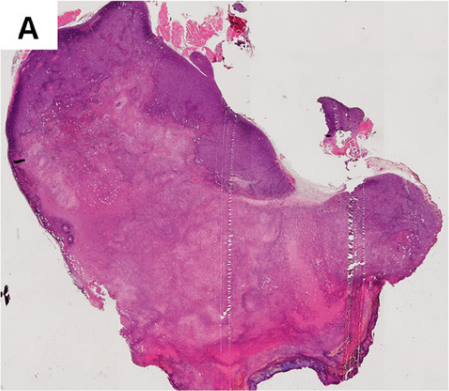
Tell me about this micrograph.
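The pale central tissue is mottled and washed-out in texture. Brighter pink tissue lines the lower border. A small detached fragment lies beside the upper right edge.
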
